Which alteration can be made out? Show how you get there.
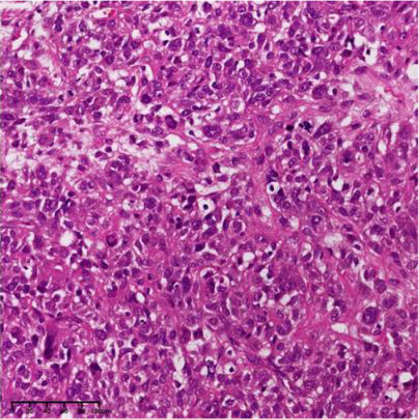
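Purple nuclei vary widely in size and shape from cell to cell. Some nuclei are much larger than their neighbours. Many nuclei have dark, coarse chromatin and visible nucleoli. So: pleomorphic nuclei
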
